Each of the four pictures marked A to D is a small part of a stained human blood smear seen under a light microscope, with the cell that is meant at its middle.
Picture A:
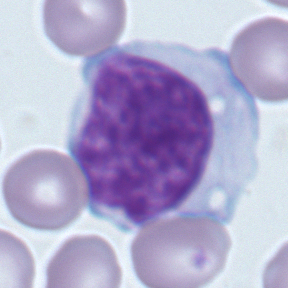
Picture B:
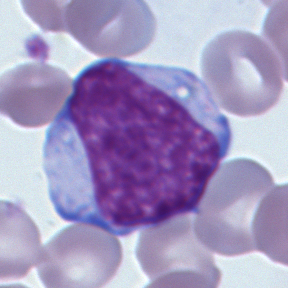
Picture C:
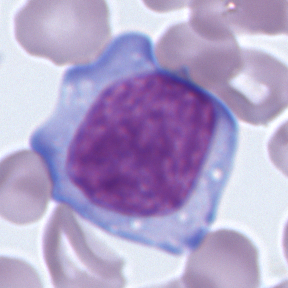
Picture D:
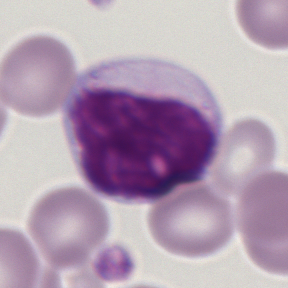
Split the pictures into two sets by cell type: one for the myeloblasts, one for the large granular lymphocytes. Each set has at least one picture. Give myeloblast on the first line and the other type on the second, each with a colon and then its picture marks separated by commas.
myeloblast: A, B, C
large granular lymphocyte: D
